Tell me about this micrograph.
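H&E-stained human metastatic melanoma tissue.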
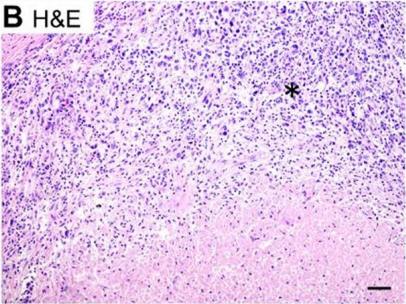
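The upper part is densely cellular: crowded cells with dark purple, oval to elongated nuclei and scant pink cytoplasm, arranged in loose sheets without glandular pattern. Toward the lower half the tissue becomes pale pink and eosinophilic, with far fewer nuclei and faint outlines of cells, the appearance of dead tissue. The transition between the cellular purple zone and the pale pink zone is fairly gradual, with scattered nuclei persisting at the edge.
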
